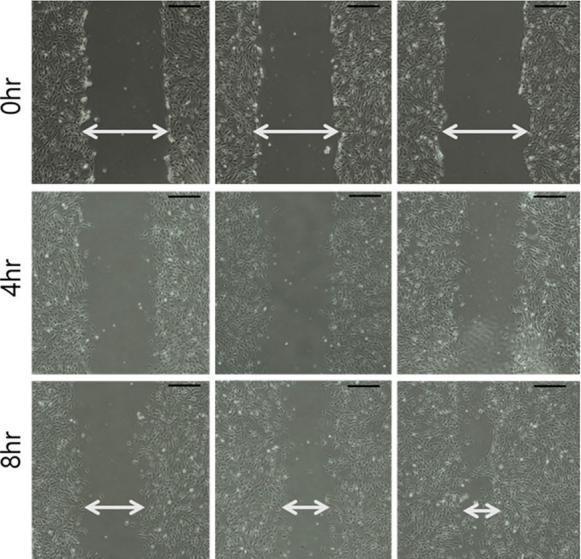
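In every field, a cell-free band runs vertically between two sheets of cells. The white double-headed arrows span the width of this band. Going down the rows, the band becomes narrower as cells advance into it from both edges, and in the lower right field only a narrow gap remains.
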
